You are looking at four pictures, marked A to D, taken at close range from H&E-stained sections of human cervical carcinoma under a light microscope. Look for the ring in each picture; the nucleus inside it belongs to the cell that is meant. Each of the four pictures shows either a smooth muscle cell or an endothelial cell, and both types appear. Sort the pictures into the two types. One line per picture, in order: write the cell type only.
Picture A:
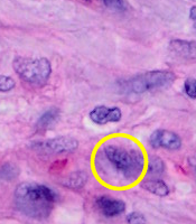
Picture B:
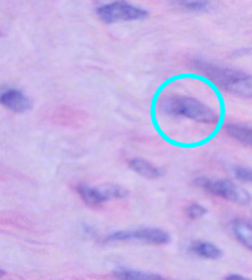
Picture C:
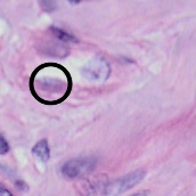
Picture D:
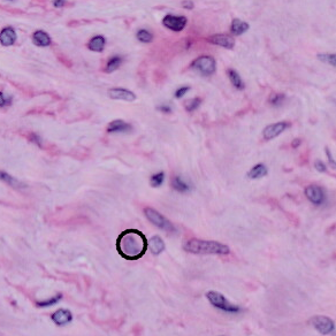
endothelial cell
smooth muscle cell
endothelial cell
smooth muscle cell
